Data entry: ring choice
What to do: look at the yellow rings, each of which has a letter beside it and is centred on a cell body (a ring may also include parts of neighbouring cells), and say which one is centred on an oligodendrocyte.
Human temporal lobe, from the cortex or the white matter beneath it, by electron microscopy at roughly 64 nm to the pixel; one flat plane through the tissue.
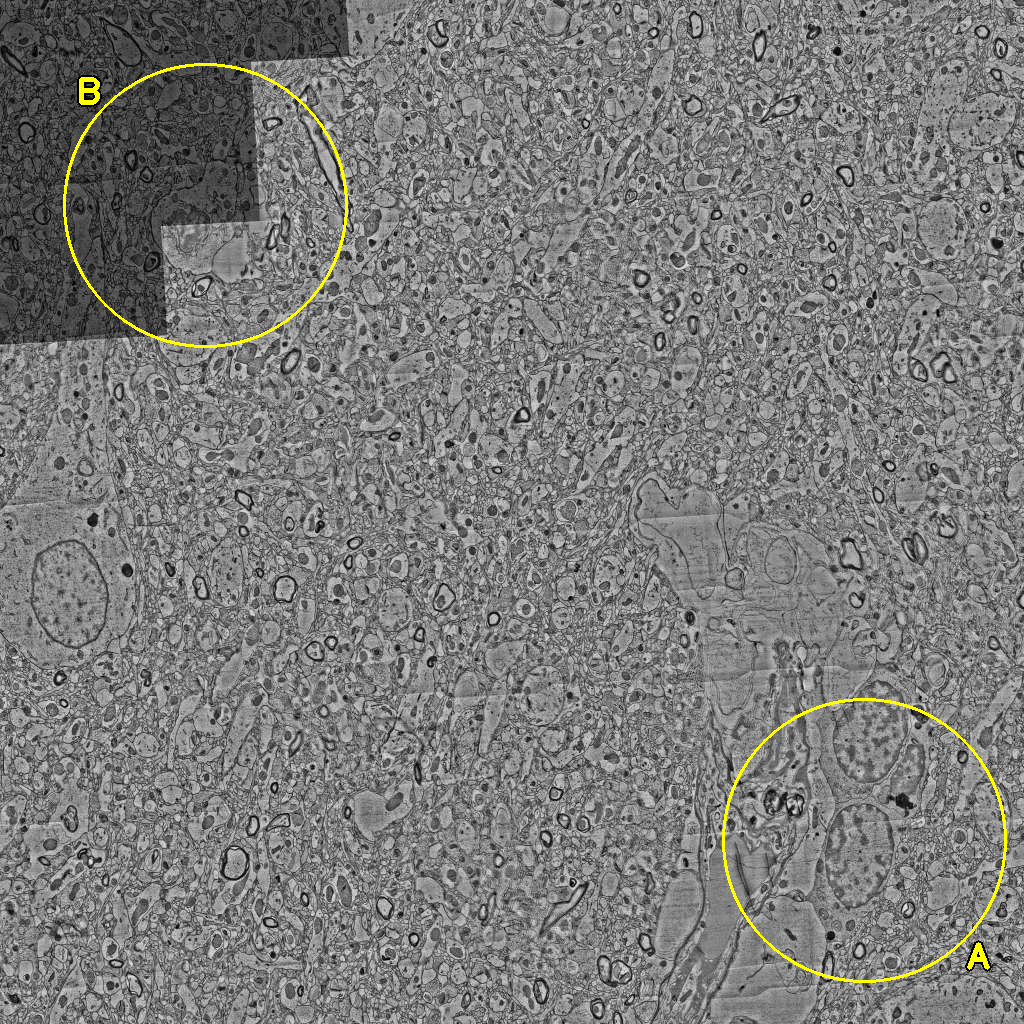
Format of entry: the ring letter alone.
A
